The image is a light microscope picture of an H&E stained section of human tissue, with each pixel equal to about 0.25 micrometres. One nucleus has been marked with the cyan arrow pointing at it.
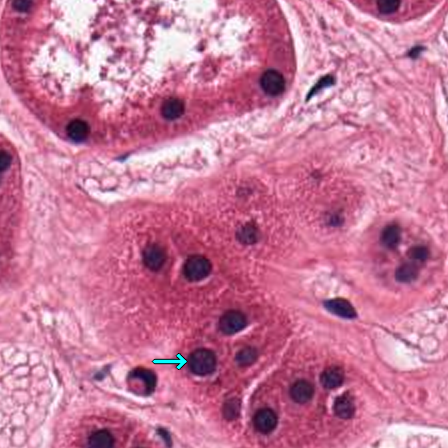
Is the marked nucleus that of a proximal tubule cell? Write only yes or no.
yes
